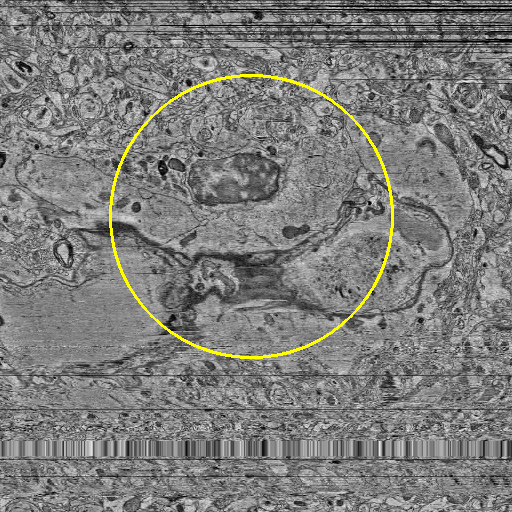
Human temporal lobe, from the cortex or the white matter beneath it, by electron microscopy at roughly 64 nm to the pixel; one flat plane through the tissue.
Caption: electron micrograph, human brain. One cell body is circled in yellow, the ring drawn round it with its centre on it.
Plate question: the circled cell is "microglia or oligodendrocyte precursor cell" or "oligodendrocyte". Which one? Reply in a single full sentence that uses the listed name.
The yellow ring on the plate is centred on a microglial cell or oligodendrocyte precursor cell, going by the listed names.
